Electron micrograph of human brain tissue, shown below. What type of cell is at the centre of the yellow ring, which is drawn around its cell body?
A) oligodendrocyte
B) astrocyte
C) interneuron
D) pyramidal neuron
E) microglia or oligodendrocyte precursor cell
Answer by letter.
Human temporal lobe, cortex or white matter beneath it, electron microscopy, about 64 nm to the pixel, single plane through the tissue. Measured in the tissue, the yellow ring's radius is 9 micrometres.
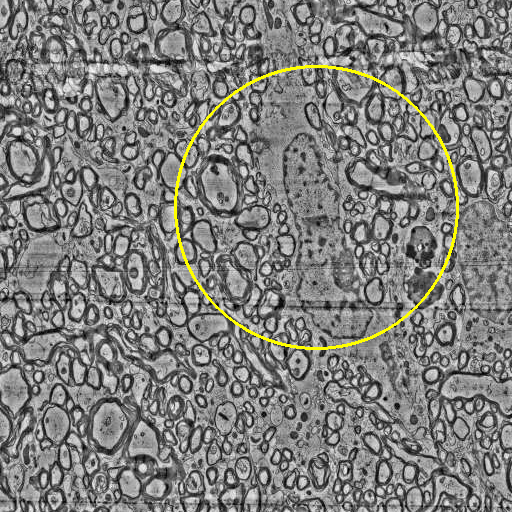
B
